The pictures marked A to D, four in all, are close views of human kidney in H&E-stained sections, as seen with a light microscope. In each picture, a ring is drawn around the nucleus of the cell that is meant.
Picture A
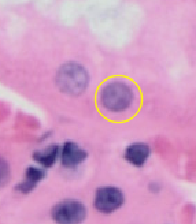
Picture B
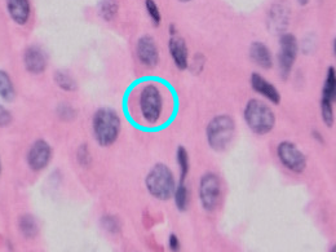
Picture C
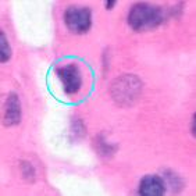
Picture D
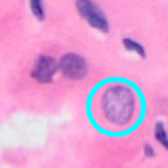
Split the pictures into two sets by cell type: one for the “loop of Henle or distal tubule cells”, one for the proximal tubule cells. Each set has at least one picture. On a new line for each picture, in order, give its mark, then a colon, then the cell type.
A: proximal tubule cell
B: loop of Henle or distal tubule cell
C: loop of Henle or distal tubule cell
D: proximal tubule cell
